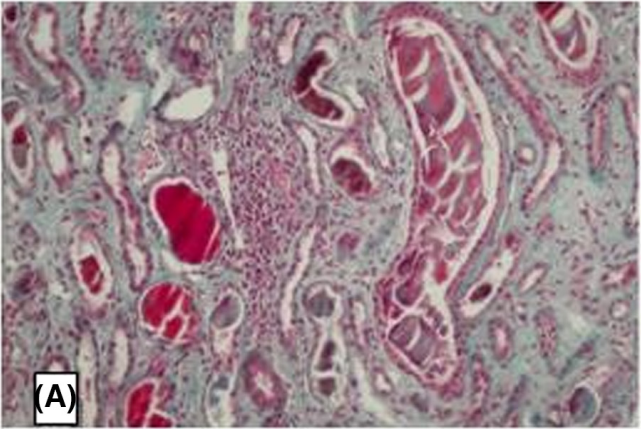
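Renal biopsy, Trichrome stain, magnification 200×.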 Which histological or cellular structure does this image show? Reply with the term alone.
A: Intra tubular polychromatophilic cylinder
